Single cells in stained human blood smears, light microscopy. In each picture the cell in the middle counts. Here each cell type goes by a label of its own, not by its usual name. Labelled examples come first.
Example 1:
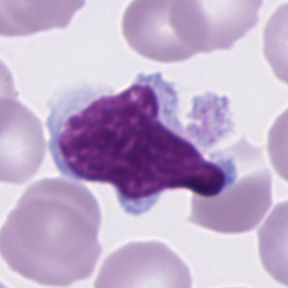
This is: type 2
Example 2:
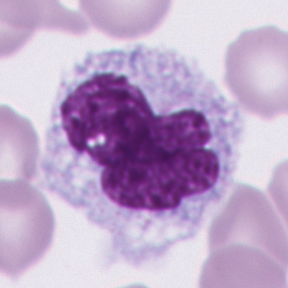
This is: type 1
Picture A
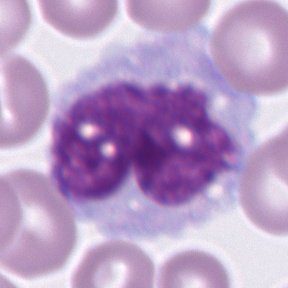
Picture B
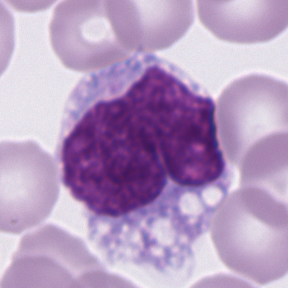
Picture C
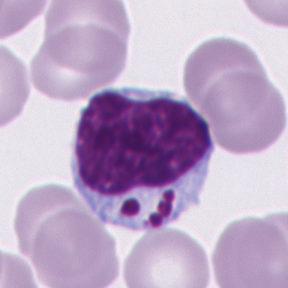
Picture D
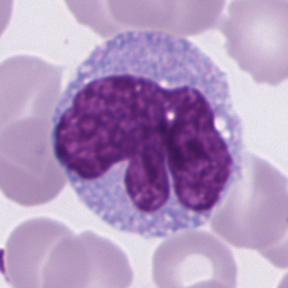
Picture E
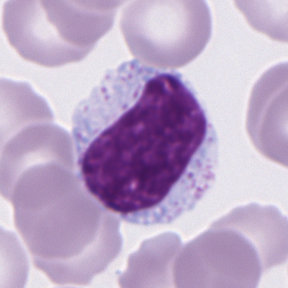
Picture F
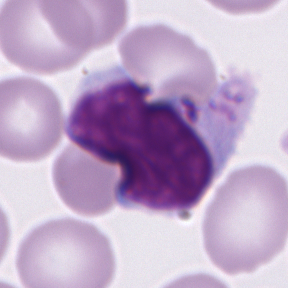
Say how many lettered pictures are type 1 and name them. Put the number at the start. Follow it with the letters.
3: A, B, D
